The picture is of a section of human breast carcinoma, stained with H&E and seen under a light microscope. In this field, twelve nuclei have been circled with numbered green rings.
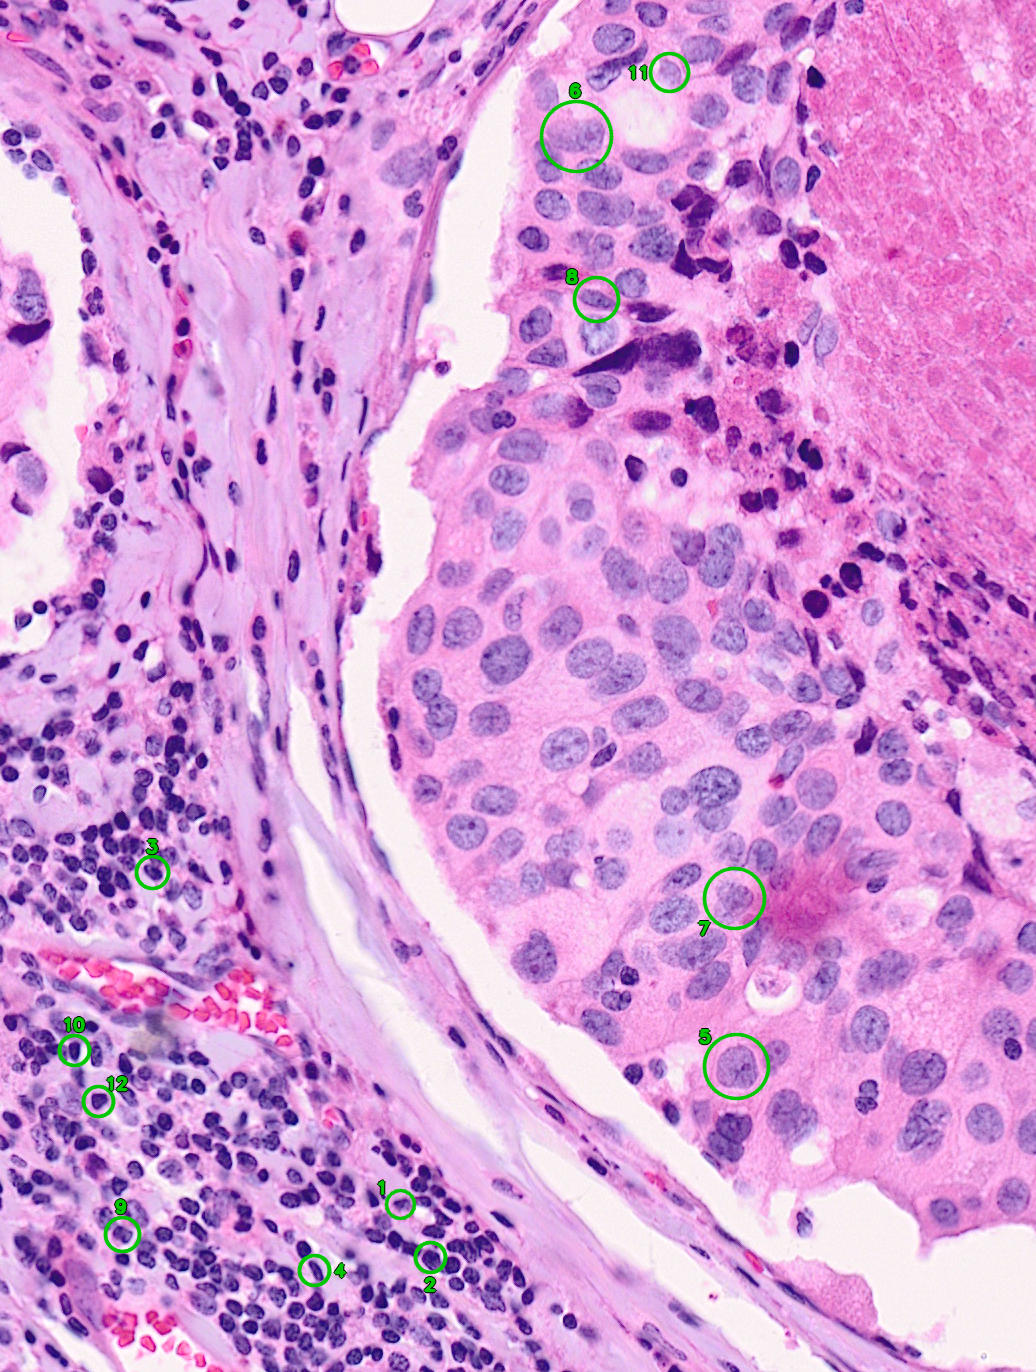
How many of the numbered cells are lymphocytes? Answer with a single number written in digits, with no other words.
7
